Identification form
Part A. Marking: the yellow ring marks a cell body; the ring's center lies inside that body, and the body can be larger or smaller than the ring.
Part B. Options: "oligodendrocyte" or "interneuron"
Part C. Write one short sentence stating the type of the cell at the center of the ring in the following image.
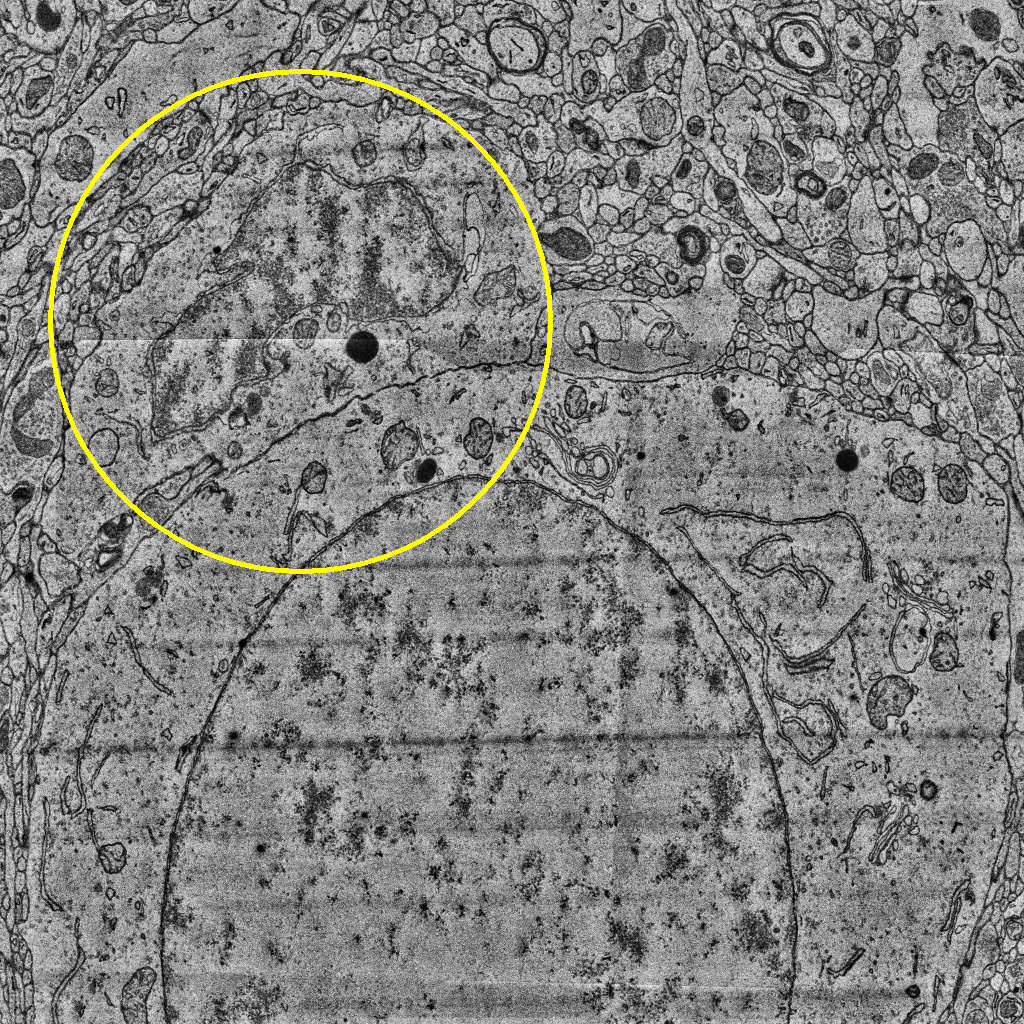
The center of the ring holds an interneuron.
